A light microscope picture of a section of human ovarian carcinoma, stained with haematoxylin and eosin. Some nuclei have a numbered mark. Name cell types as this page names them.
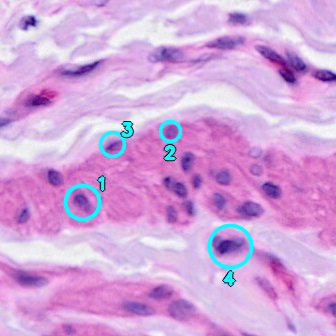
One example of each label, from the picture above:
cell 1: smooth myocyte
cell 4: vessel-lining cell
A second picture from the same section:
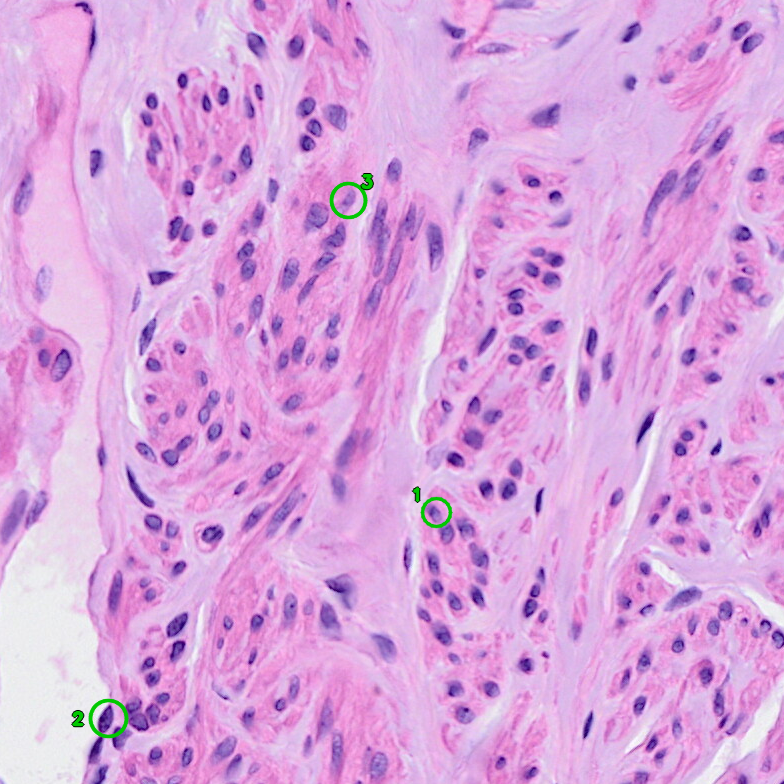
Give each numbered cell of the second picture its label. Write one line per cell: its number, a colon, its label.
1: smooth myocyte
2: vessel-lining cell
3: smooth myocyte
